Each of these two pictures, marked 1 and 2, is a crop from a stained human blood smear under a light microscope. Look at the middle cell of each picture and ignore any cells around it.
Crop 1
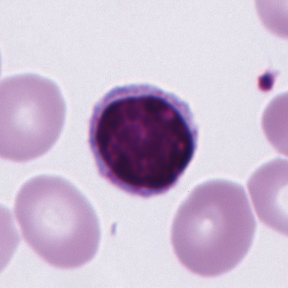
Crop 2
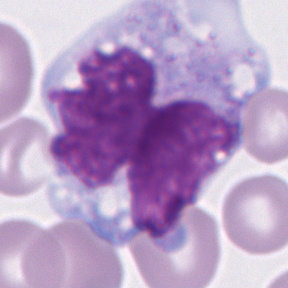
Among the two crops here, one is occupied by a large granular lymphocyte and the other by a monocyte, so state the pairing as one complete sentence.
Crop 1 and crop 2 are a large granular lymphocyte and a monocyte, in that order.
